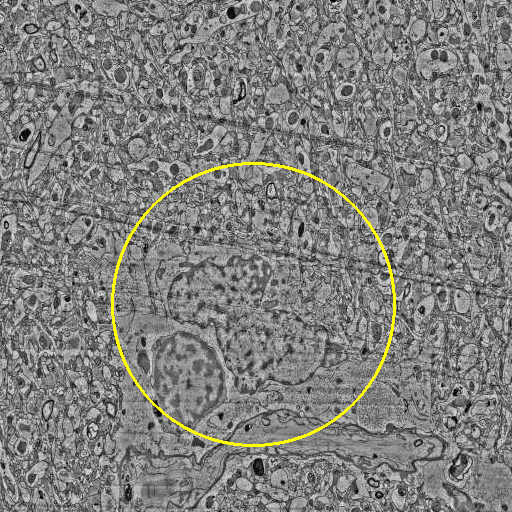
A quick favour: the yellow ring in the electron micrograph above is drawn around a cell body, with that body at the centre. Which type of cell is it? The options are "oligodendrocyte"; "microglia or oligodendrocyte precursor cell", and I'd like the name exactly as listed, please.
microglia or oligodendrocyte precursor cell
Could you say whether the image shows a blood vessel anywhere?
Yes, one appears.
